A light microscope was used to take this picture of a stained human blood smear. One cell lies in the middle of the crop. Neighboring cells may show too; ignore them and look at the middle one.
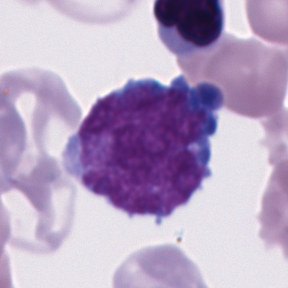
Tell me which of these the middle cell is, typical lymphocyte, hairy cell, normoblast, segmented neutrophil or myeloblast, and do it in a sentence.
The cell at the middle of the frame should be recorded as a myeloblast.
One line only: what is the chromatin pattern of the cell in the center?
In this cell the chromatin is fine rather than coarsely clumped.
